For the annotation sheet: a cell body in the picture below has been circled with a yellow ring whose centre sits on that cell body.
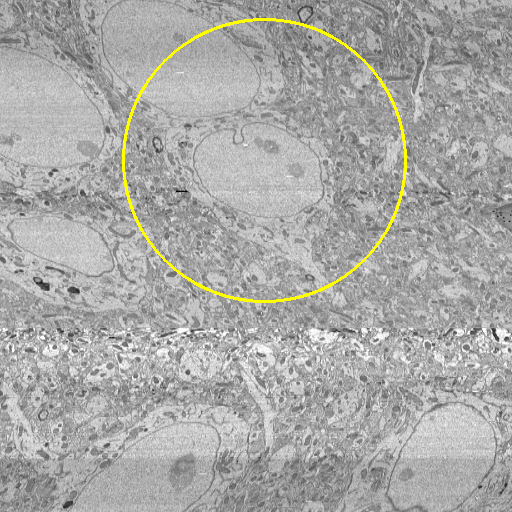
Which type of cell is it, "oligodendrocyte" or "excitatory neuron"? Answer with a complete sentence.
The circled cell is an excitatory neuron.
